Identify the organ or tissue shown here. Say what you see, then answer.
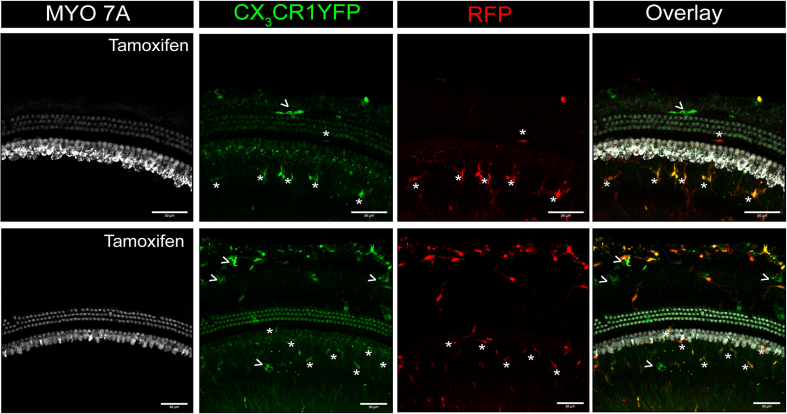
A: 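Branched cells lie along and beneath the hair cell rows.
Sensory epithelium.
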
